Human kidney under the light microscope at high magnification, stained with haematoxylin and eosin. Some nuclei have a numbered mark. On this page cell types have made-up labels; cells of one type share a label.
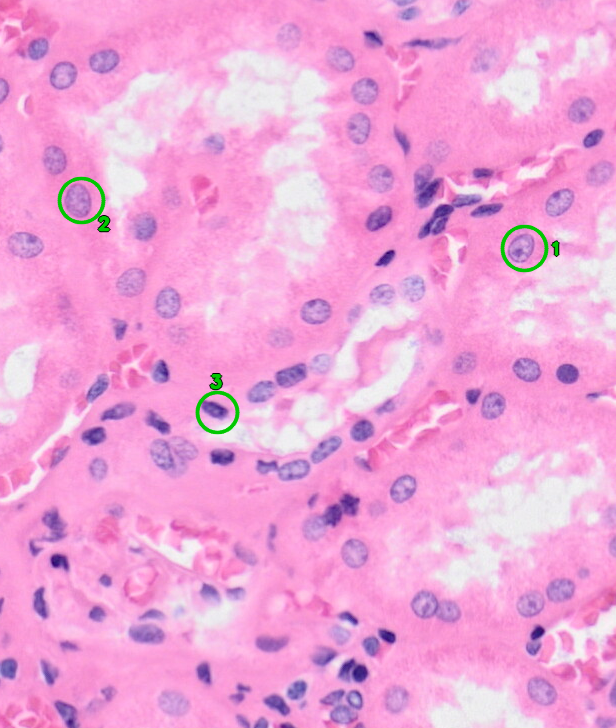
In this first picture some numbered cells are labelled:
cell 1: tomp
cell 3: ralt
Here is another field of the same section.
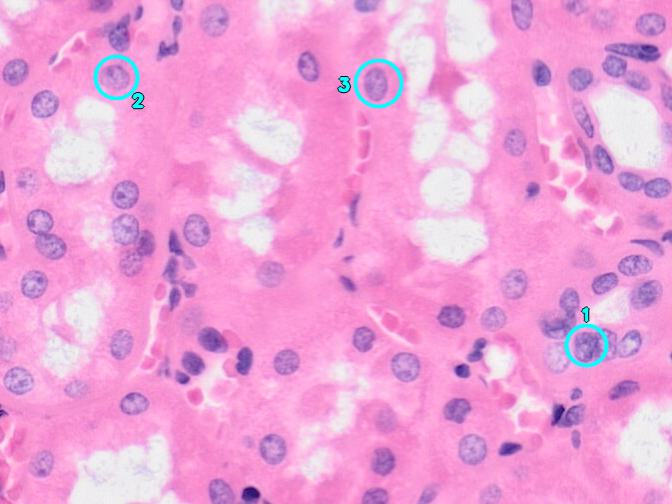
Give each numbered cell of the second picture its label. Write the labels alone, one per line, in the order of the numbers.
ralt
tomp
tomp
